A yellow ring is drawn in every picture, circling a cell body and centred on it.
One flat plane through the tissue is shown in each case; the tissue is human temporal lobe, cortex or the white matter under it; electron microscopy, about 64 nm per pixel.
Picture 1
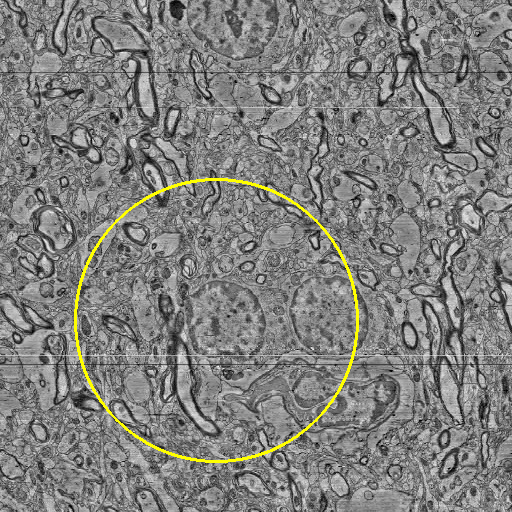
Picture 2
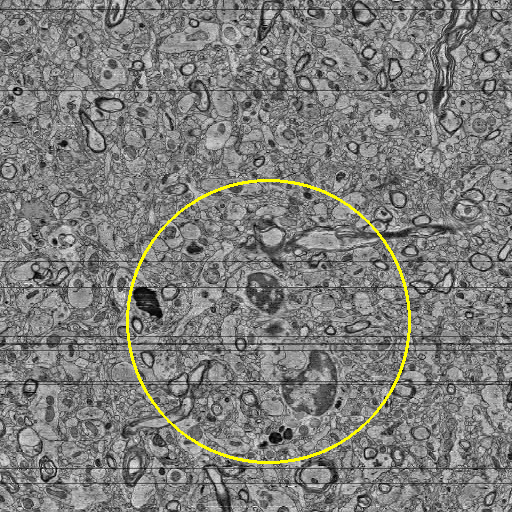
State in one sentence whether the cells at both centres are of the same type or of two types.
The cells at the two ring centres, one per picture, are of two types.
